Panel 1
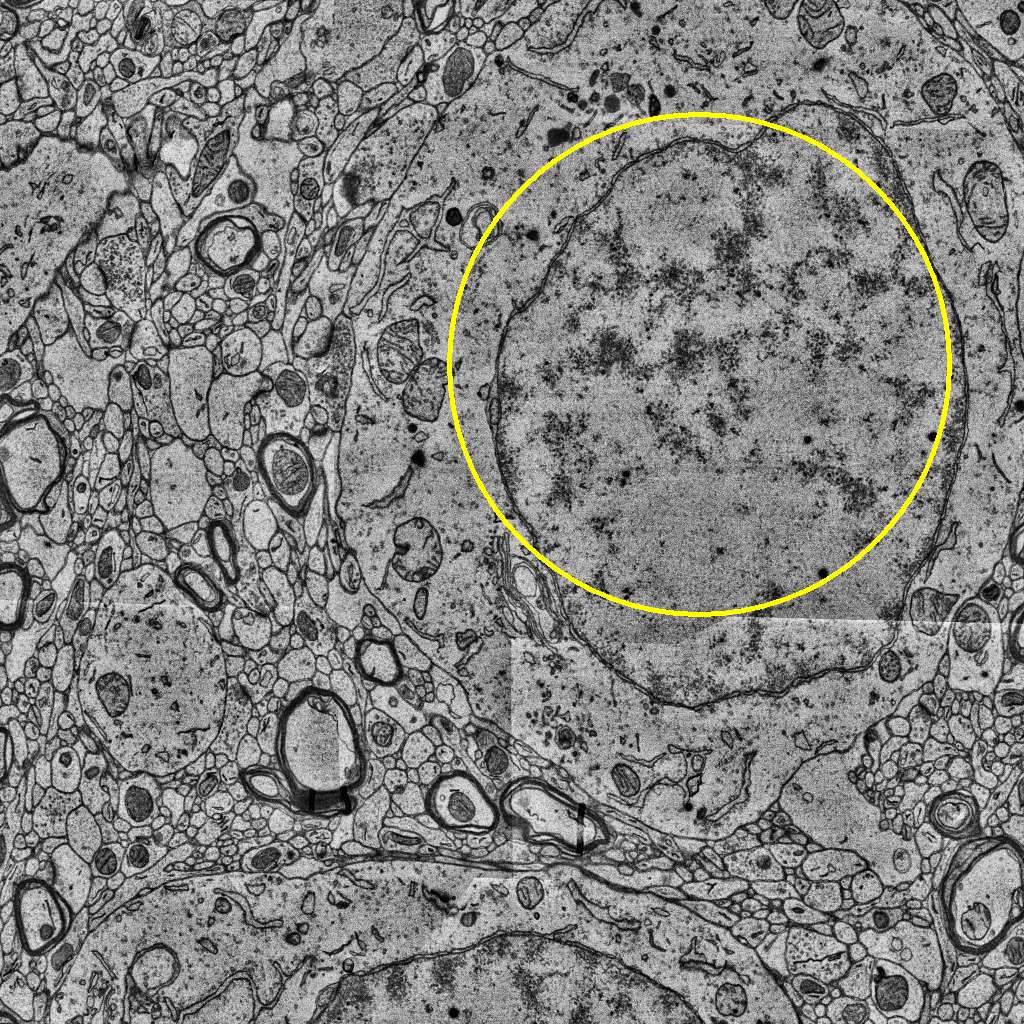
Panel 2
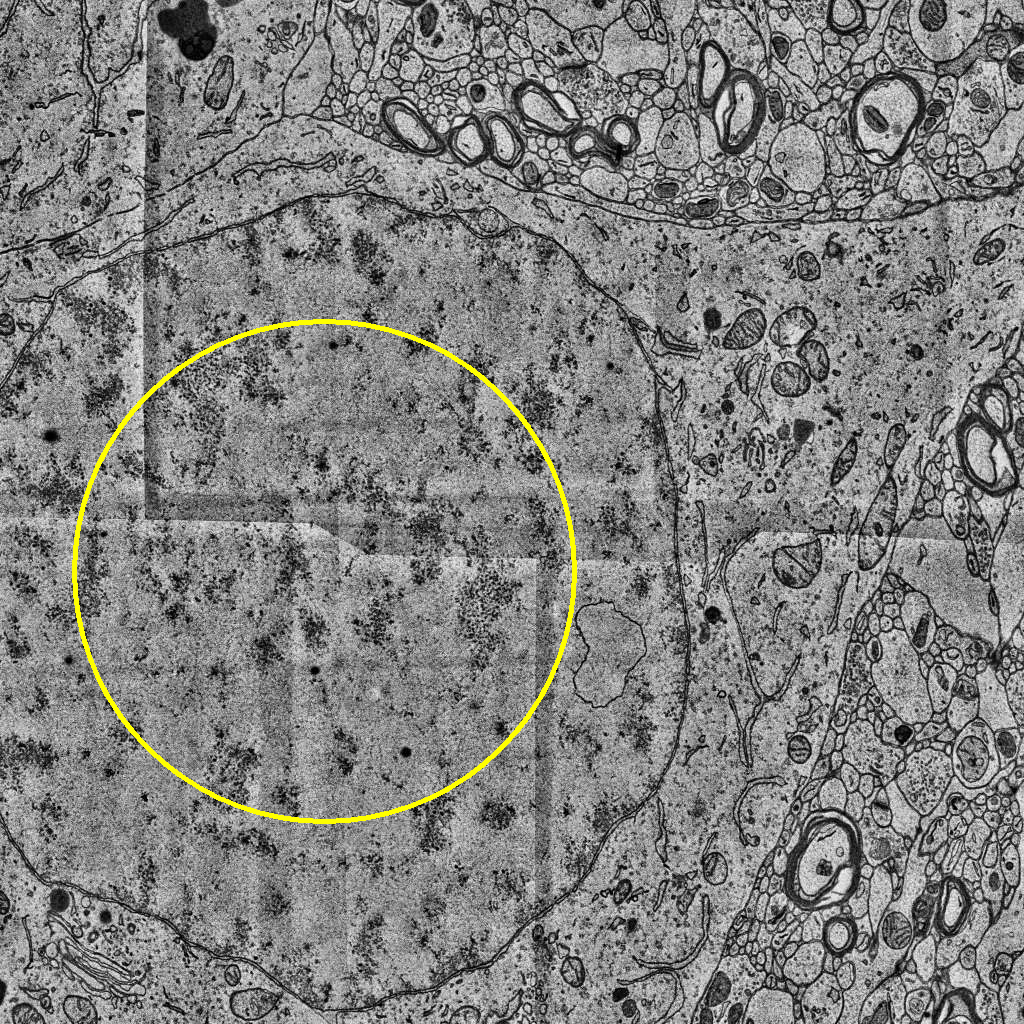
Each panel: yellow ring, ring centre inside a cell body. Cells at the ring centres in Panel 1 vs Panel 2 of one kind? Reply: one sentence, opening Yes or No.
Yes, Panel 1 and Panel 2 have cells of one kind at the ring centres.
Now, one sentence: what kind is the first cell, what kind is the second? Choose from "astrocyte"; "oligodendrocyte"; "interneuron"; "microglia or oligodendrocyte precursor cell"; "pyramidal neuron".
The cell in the first picture is a pyramidal neuron, and so is the one in the second.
